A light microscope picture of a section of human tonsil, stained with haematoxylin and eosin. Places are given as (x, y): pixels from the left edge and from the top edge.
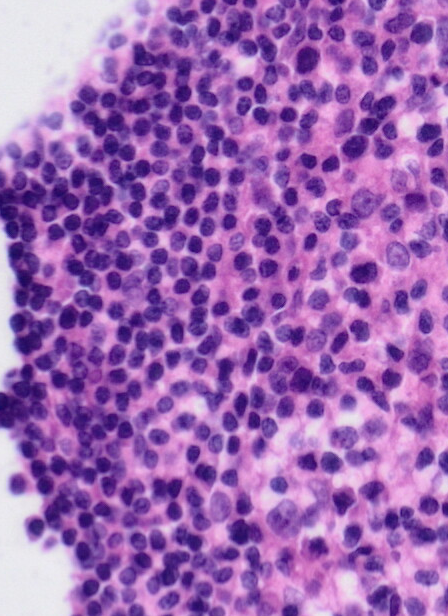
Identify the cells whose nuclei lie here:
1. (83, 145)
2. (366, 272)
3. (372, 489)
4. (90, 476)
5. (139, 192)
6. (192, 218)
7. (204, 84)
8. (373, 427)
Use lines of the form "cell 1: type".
cell 1: small lymphocyte
cell 2: proliferating B cell
cell 3: proliferating B cell
cell 4: small lymphocyte
cell 5: small lymphocyte
cell 6: small lymphocyte
cell 7: small lymphocyte
cell 8: proliferating B cell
